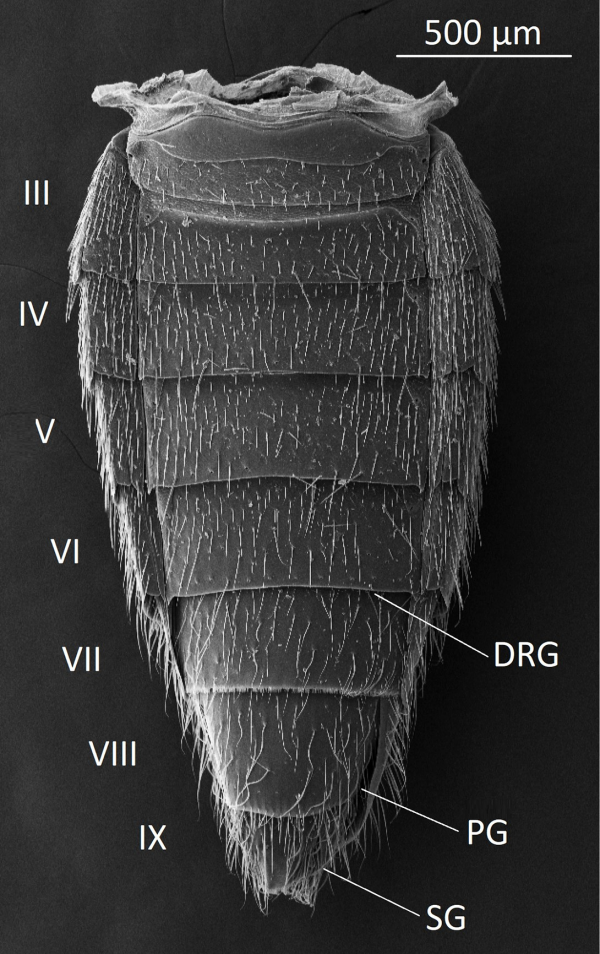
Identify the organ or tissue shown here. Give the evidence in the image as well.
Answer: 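A tapering body part built of overlapping ring segments. The segments are covered with many bristles. The anterior end is torn open. On this evidence: abdomen.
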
